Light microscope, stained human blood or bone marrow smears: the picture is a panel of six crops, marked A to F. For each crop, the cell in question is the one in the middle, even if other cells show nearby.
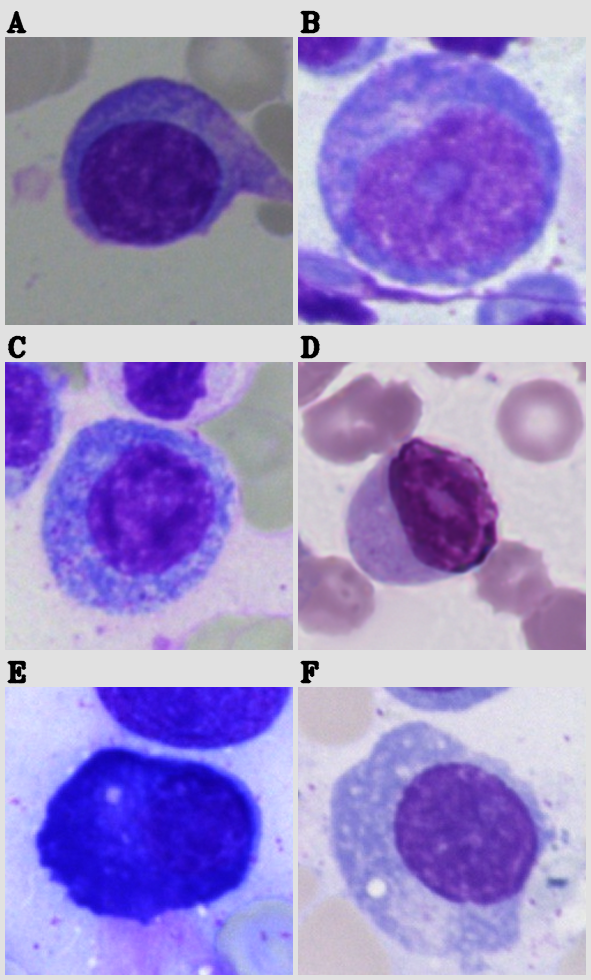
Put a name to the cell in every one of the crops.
A: plasma cell
B: promyelocyte
C: promyelocyte
D: plasma cell
E: plasma cell
F: plasma cell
